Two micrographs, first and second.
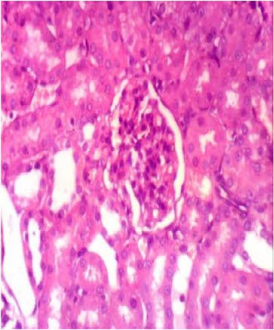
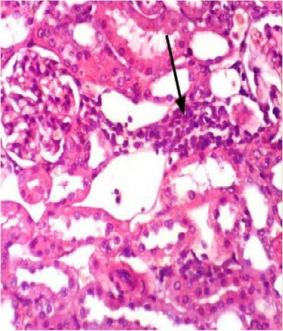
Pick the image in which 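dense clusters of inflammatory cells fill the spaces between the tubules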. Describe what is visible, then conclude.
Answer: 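The second image. Second image: clusters of small dark round nuclei crowd the interstitium between separated tubules. First image: tubules lie close together around a glomerulus with no such cell clusters.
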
